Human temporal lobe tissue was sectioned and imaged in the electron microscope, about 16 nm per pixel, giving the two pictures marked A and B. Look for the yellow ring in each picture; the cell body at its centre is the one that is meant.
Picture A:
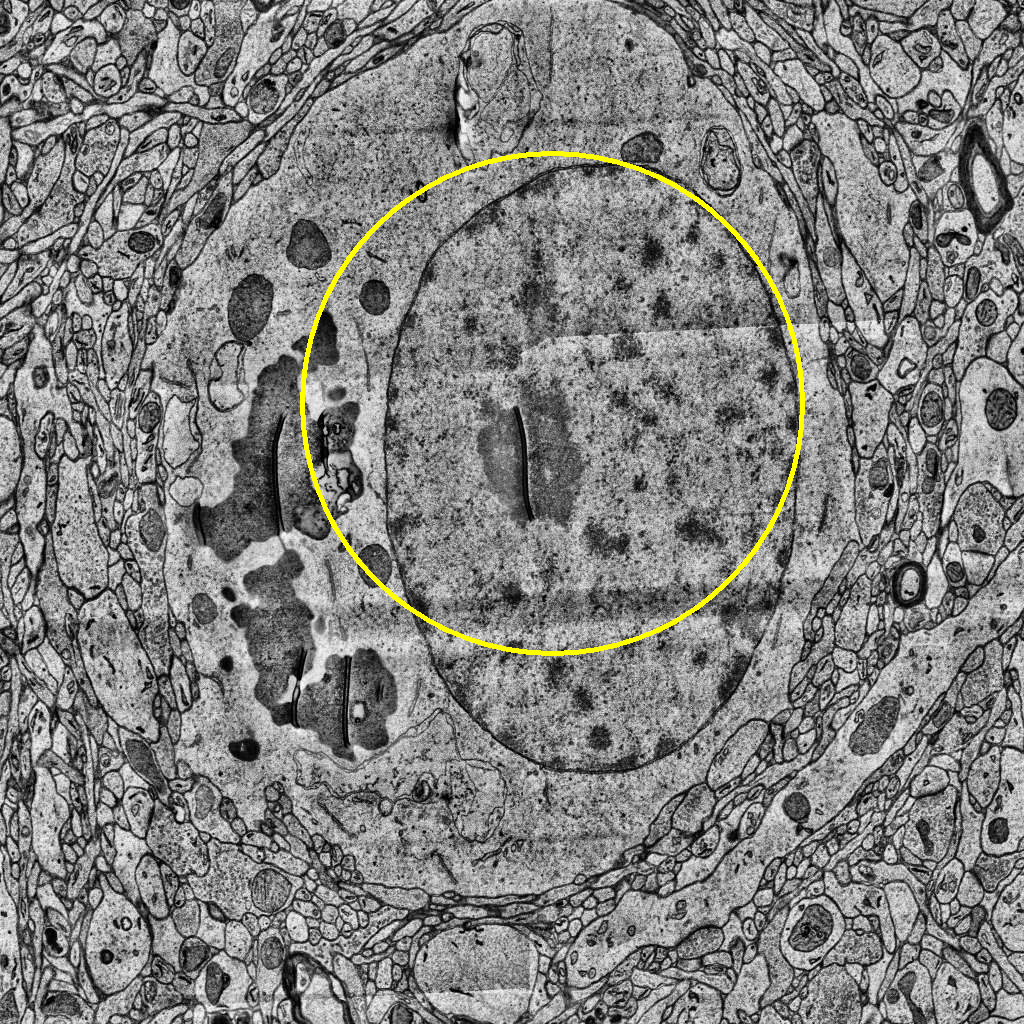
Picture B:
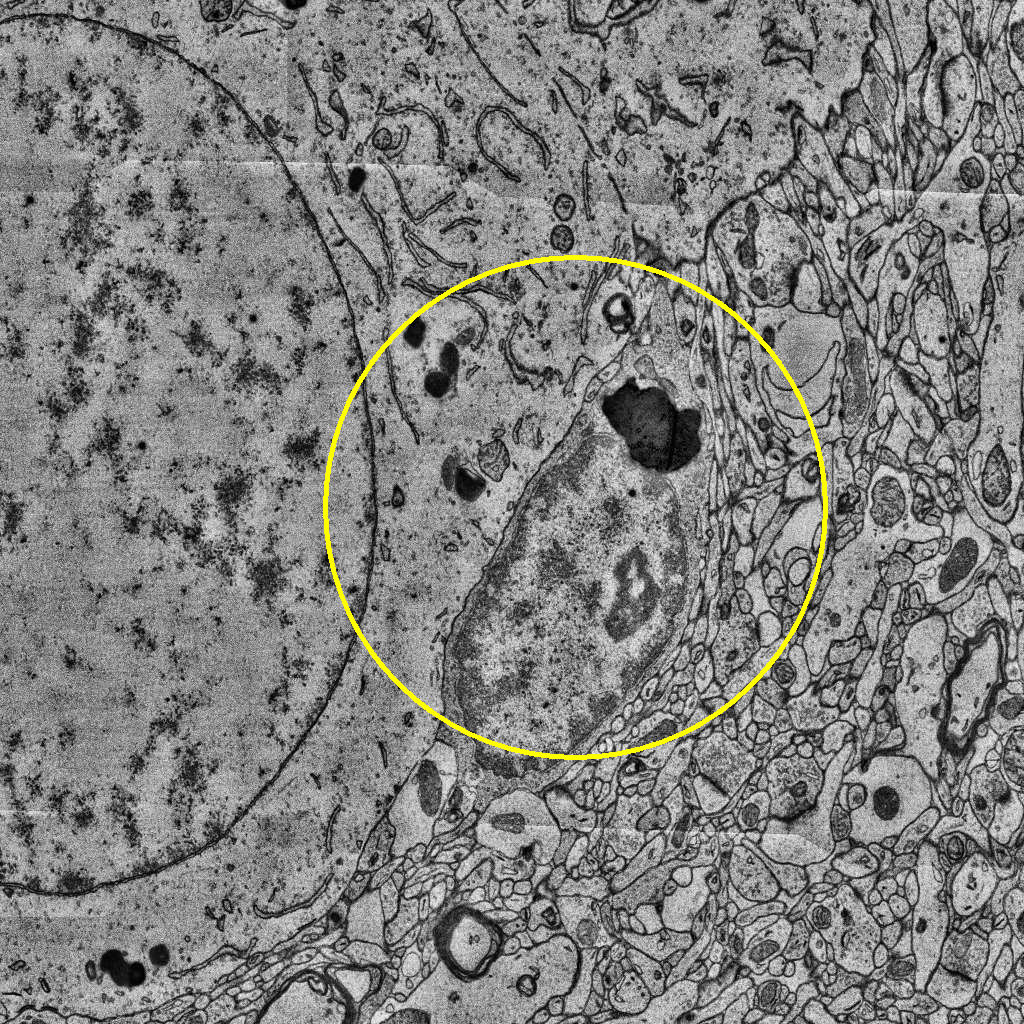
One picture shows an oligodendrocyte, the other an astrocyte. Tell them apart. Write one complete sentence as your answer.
In picture A the cell is an astrocyte; in picture B, an oligodendrocyte.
